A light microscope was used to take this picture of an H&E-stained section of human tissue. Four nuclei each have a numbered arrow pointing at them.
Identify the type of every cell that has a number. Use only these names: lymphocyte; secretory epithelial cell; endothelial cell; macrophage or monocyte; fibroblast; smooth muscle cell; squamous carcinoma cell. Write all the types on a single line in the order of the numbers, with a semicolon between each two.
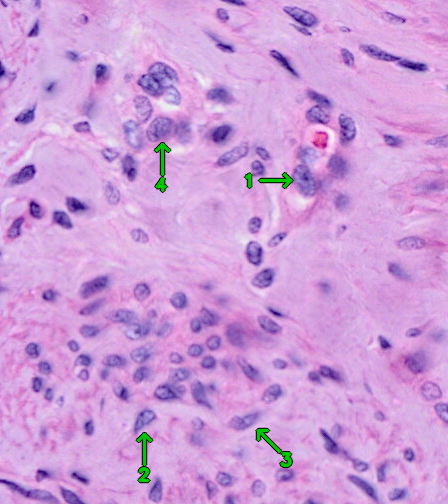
endothelial cell; smooth muscle cell; smooth muscle cell; endothelial cell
